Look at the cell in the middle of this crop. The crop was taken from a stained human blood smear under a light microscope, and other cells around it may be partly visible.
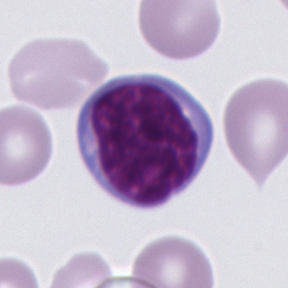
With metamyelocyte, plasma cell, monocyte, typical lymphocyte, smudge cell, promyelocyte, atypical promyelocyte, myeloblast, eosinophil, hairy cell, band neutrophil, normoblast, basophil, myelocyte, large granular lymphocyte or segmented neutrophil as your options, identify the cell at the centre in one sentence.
The cell marked by its central position in the crop is a large granular lymphocyte.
